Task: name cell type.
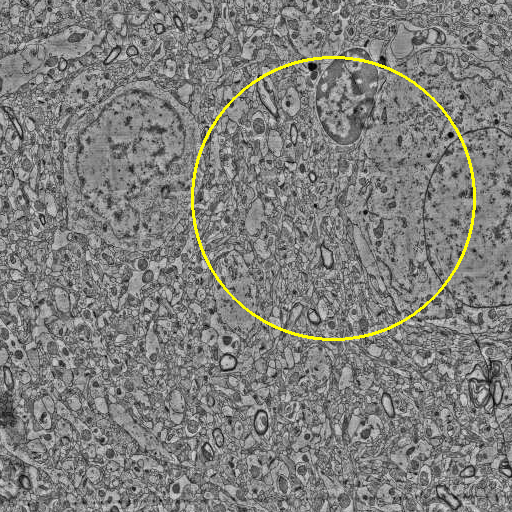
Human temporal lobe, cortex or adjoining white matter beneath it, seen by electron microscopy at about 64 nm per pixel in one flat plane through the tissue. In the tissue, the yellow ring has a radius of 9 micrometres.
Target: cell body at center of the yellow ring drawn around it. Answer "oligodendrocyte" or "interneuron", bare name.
oligodendrocyte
